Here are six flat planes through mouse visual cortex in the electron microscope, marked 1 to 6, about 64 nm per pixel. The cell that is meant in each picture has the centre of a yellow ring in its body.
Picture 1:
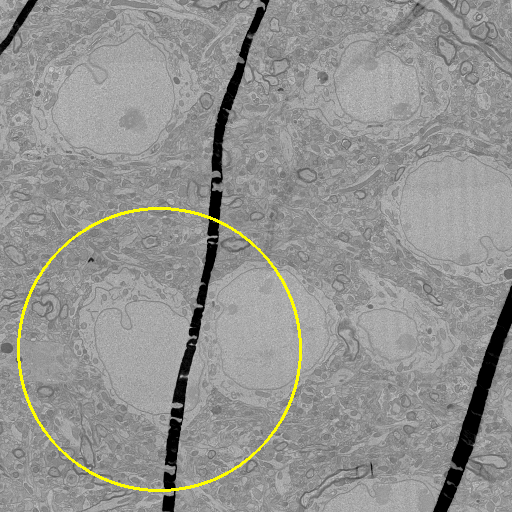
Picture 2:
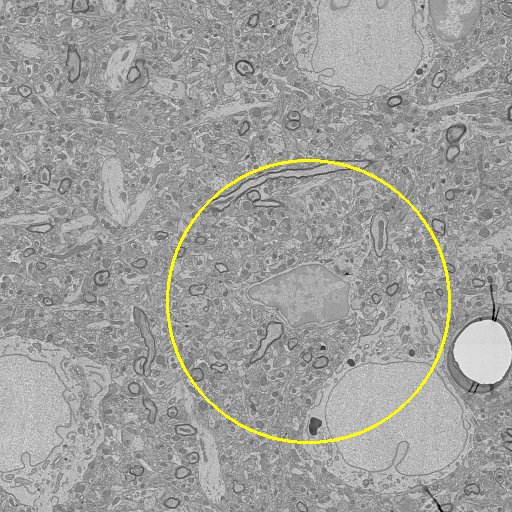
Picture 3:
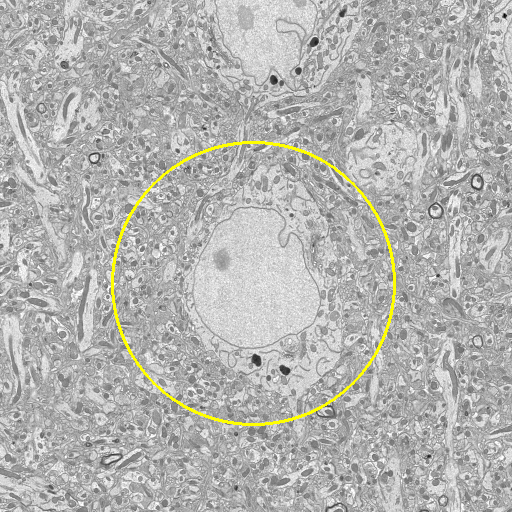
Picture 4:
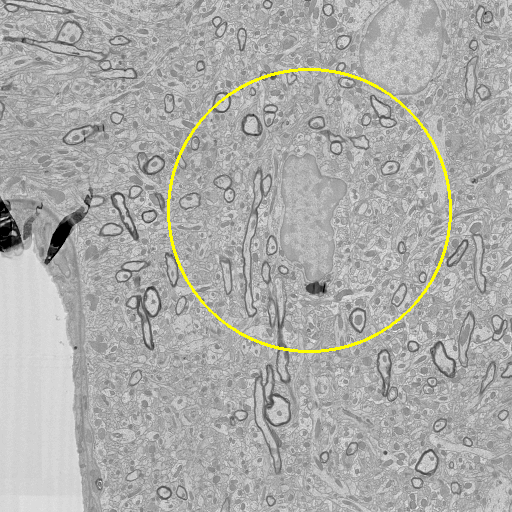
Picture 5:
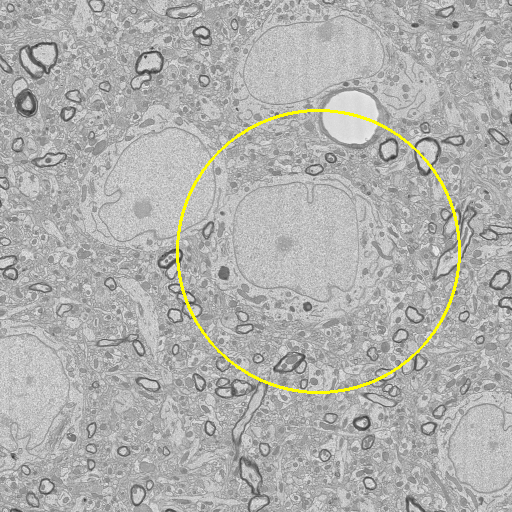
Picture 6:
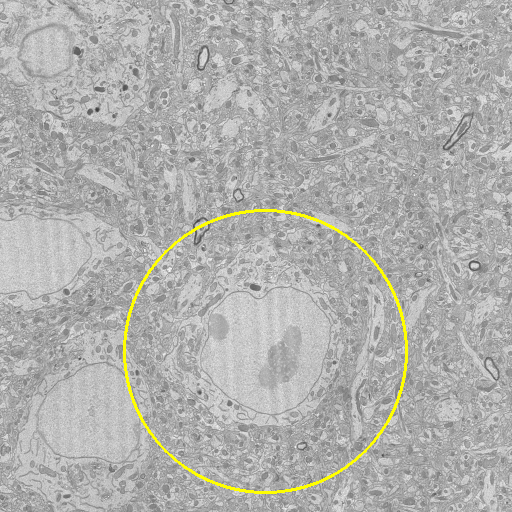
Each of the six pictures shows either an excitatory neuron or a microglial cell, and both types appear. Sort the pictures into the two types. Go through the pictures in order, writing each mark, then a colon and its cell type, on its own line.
1: excitatory neuron
2: microglial cell
3: excitatory neuron
4: microglial cell
5: excitatory neuron
6: excitatory neuron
